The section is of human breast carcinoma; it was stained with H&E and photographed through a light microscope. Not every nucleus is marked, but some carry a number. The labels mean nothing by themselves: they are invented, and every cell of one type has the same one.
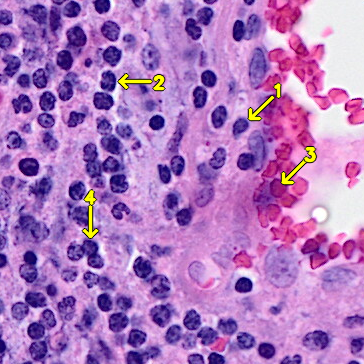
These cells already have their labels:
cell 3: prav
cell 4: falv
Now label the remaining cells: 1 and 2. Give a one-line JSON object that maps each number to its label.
{"1": "falv", "2": "falv"}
